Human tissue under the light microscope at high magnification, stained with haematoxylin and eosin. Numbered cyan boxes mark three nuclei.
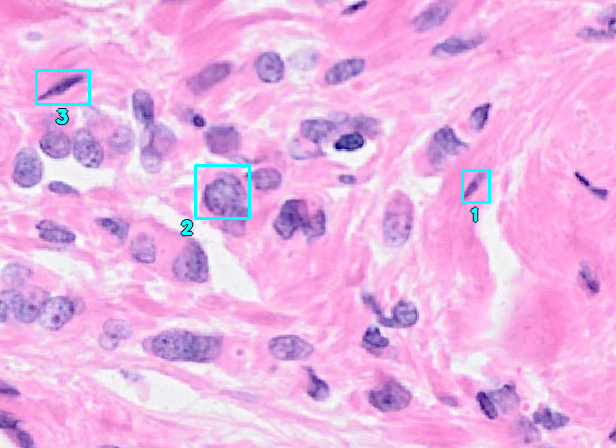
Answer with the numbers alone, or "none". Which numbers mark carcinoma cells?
2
